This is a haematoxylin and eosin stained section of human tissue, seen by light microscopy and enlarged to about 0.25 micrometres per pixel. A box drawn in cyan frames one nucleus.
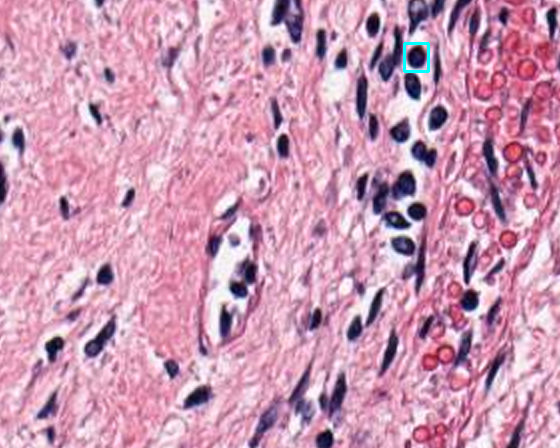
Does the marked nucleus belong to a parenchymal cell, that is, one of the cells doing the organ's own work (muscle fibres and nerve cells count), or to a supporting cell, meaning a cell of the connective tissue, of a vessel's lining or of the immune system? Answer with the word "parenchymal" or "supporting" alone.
supporting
